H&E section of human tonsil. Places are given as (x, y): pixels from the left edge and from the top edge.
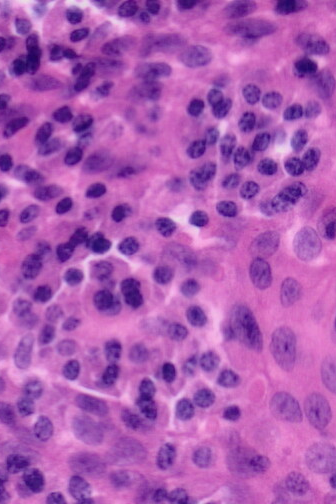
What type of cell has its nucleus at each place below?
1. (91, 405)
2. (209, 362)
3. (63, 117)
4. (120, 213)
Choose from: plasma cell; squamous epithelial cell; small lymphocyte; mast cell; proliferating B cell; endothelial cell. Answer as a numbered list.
1. squamous epithelial cell
2. plasma cell
3. plasma cell
4. plasma cell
